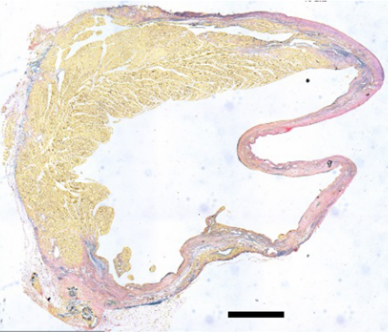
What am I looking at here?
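The upper right and right wall is a long, very thin pink band that loops and folds, with hardly any muscle left in it. Bluish-purple streaks run in the thin wall near where it joins the muscle.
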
